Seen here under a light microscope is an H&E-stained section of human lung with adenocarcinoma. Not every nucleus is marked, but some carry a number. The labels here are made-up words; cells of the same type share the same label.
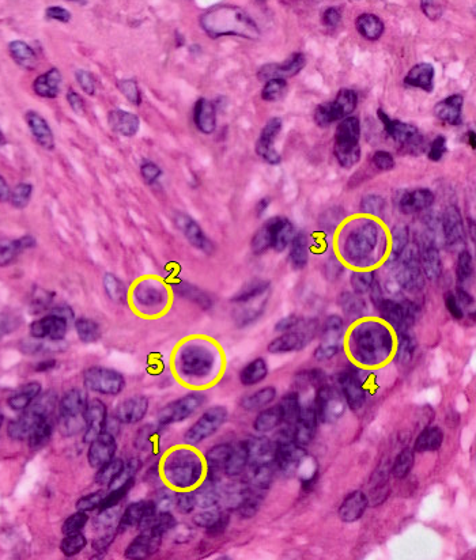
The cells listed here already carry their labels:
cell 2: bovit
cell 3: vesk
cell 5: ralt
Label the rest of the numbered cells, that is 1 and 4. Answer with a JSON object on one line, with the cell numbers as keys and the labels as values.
{"1": "vesk", "4": "vesk"}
